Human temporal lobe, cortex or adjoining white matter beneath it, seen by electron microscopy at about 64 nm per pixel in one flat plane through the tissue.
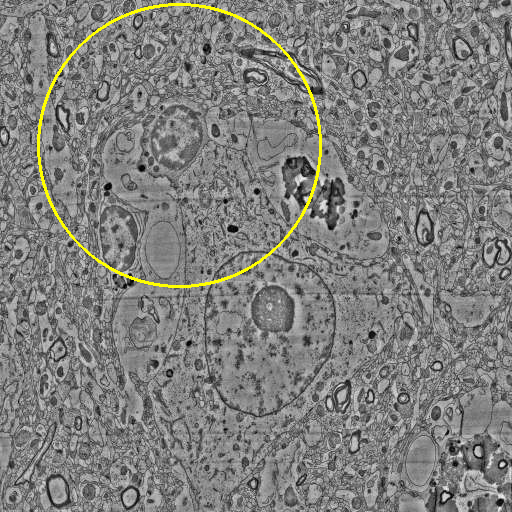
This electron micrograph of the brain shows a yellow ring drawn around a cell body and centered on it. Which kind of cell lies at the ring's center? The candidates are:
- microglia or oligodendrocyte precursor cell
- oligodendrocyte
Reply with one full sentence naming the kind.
The cell lying at the ring's center in this micrograph is an oligodendrocyte.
